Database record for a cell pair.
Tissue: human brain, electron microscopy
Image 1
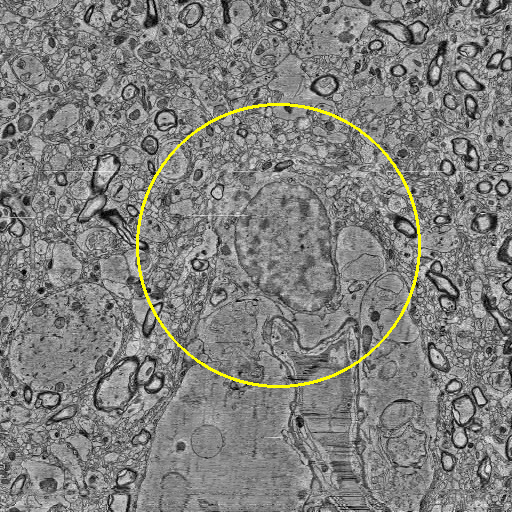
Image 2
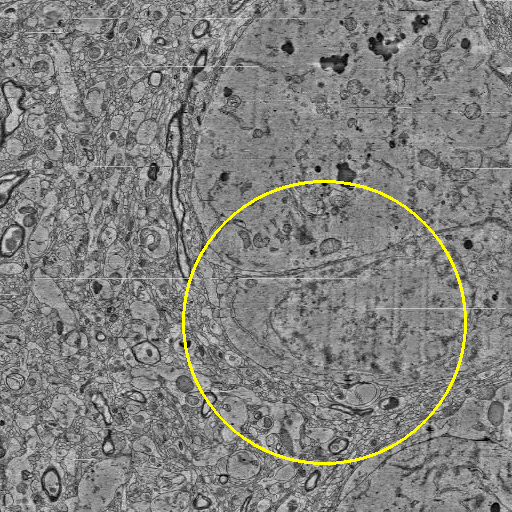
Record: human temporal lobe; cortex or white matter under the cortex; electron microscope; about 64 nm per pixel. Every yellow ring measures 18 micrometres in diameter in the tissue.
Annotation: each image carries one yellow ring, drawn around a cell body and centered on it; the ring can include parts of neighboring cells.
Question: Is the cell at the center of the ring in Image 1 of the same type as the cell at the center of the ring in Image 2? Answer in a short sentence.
No, the cells are of two types.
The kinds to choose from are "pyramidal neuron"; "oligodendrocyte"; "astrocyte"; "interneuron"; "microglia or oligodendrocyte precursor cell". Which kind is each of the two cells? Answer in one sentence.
Of the two, the first cell is an oligodendrocyte and the second cell is an interneuron.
